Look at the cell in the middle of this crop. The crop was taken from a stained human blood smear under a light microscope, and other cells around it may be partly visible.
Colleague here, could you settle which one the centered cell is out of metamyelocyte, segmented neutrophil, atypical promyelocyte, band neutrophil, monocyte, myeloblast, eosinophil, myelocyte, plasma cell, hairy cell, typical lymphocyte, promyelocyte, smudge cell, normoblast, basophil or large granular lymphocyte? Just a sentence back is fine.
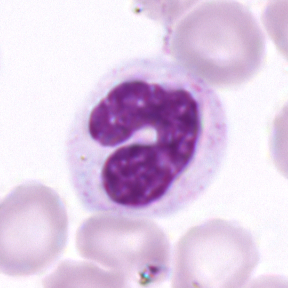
The cell of interest, in the center, is a band neutrophil.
